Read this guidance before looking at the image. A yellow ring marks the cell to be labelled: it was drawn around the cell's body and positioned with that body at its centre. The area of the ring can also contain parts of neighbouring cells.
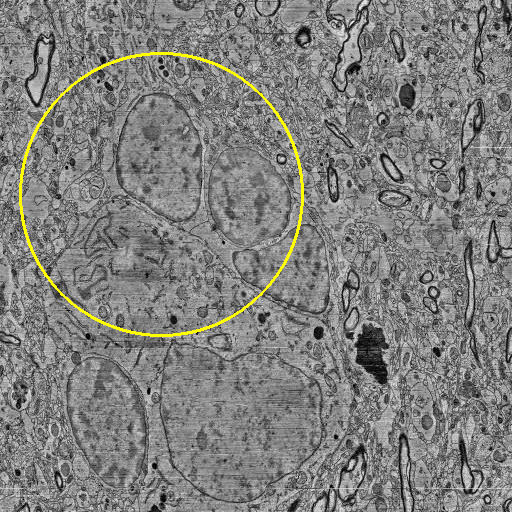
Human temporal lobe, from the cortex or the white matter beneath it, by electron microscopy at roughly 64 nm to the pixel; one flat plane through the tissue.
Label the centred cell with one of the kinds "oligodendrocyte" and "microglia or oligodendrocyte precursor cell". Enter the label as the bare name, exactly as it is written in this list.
microglia or oligodendrocyte precursor cell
